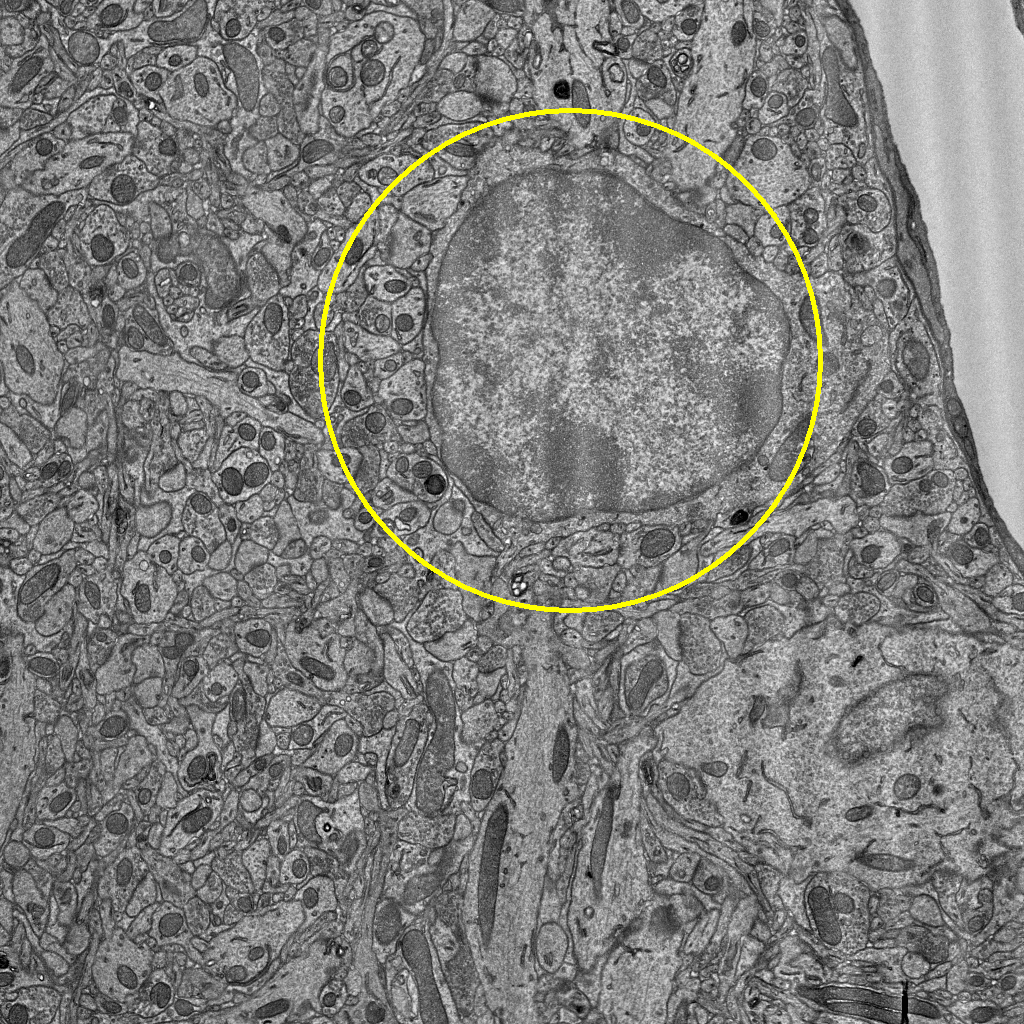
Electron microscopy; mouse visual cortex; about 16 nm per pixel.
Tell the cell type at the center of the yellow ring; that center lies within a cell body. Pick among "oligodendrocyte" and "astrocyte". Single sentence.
The ring's center lies in the body of an oligodendrocyte.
